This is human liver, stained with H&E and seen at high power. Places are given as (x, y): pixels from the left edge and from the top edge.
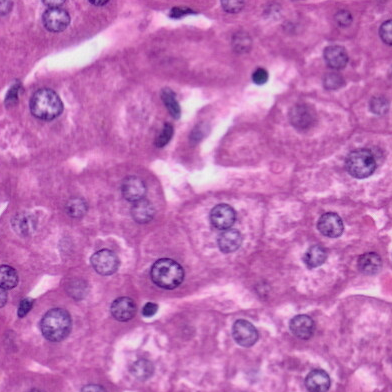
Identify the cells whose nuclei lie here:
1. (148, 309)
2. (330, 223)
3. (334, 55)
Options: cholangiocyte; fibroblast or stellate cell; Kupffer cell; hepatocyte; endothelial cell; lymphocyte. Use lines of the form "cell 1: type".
cell 1: lymphocyte
cell 2: hepatocyte
cell 3: hepatocyte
